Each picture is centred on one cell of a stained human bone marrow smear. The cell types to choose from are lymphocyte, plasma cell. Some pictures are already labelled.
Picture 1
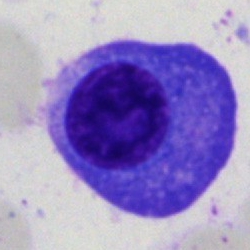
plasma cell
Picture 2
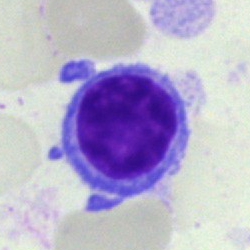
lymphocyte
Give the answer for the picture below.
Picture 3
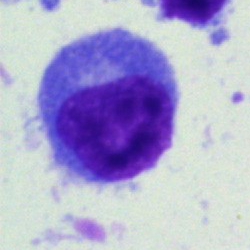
plasma cell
